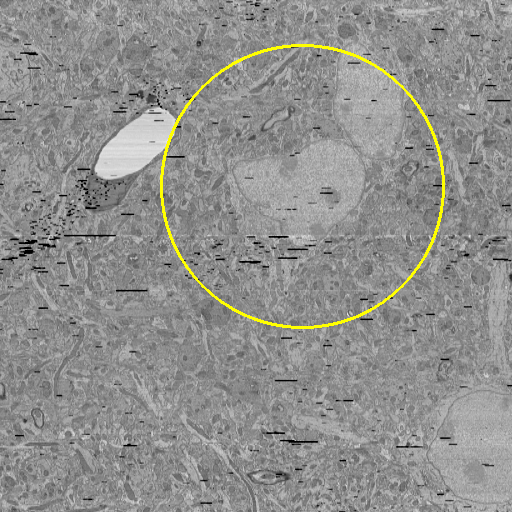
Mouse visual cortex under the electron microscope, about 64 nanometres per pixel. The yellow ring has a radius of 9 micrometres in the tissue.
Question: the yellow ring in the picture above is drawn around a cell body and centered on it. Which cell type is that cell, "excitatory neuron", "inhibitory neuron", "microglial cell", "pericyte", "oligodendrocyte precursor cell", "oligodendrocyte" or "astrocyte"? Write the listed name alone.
astrocyte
